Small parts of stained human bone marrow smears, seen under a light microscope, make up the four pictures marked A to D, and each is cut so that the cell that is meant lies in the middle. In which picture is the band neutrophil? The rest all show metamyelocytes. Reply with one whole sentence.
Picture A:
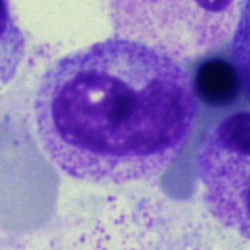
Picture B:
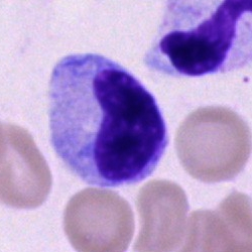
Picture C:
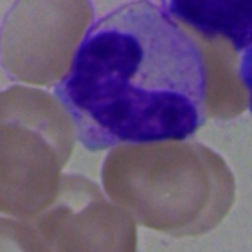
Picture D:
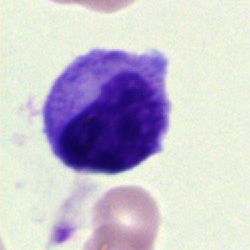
The cell in picture C is the band neutrophil.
